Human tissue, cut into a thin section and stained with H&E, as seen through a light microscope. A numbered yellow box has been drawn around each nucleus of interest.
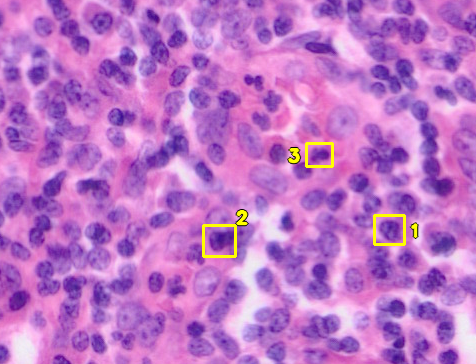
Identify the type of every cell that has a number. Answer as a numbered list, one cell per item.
1. plasma cell
2. endothelial cell
3. endothelial cell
